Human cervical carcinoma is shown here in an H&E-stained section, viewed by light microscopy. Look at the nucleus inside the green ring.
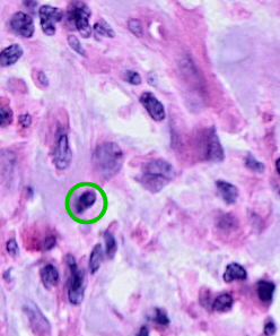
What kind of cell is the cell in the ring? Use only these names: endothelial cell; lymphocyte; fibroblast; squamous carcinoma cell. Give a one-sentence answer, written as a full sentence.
Cytologically, the cell in the ring is to be regarded as a lymphocyte.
